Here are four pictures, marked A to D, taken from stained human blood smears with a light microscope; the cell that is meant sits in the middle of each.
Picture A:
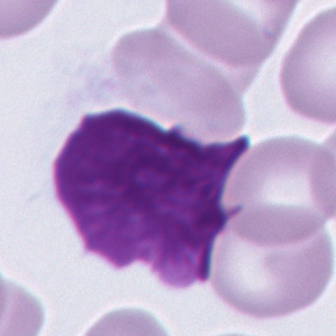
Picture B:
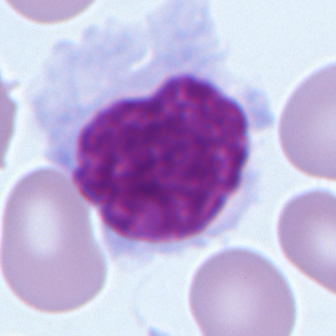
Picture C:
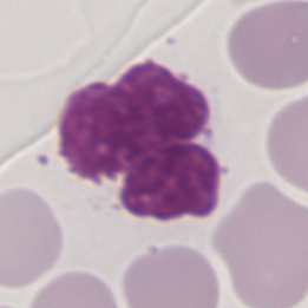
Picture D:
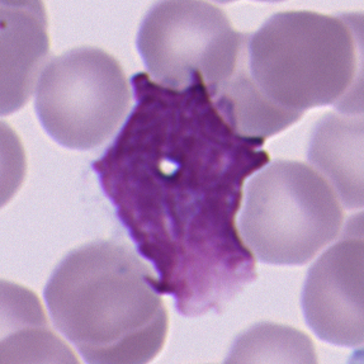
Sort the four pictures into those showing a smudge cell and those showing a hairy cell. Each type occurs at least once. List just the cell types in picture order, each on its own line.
smudge cell
hairy cell
smudge cell
smudge cell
